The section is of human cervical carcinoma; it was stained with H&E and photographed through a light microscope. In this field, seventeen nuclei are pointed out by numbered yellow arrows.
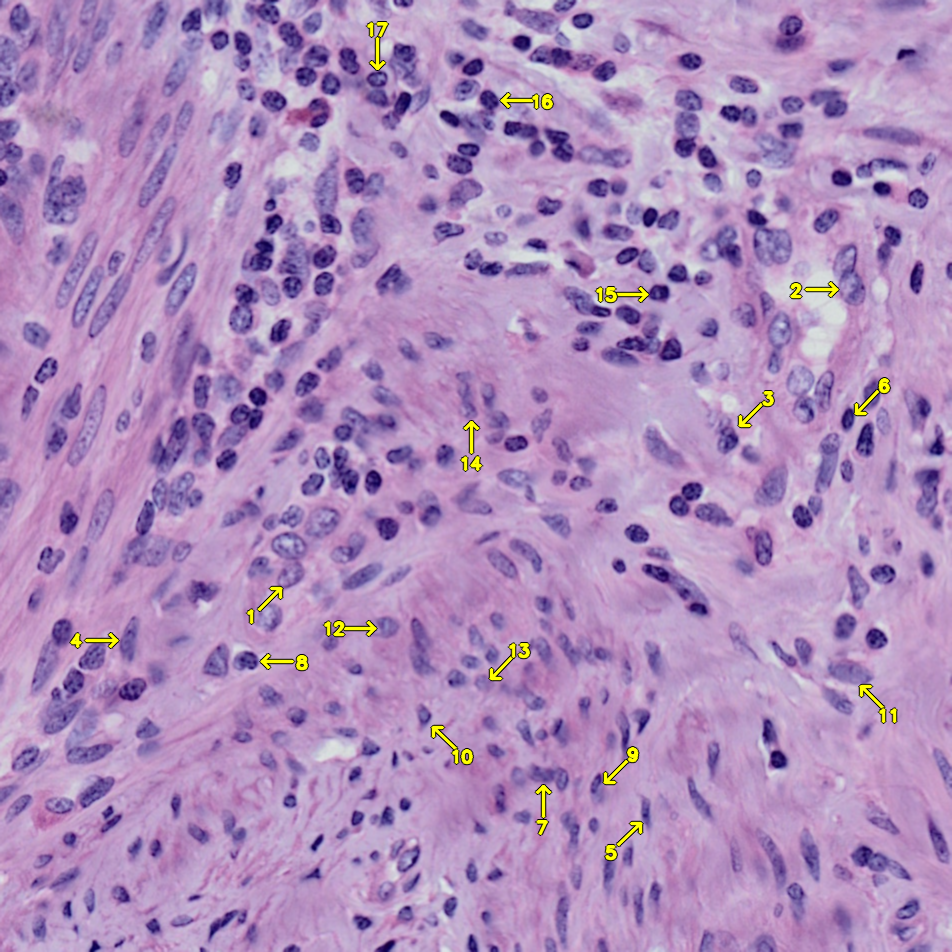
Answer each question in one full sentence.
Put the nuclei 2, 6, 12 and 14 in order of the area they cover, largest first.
The nuclei rank 2, 12, 6, 14, from largest to smallest.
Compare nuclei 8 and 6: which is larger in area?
Nucleus 8 covers more area, about 1.5 times as much as nucleus 6.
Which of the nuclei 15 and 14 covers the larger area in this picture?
Of the two, number 15 is bigger and takes up about 2 times the area of number 14.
